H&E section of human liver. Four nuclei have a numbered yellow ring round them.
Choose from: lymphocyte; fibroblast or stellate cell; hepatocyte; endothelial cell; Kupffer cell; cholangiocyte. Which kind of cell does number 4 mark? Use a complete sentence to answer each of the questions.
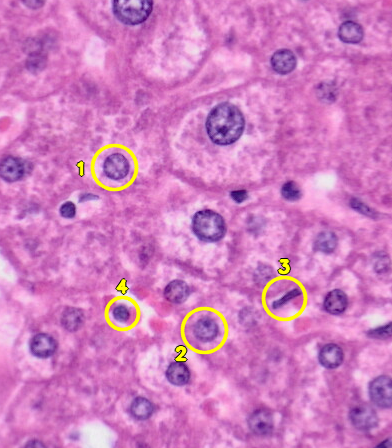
Cell 4 is classified as a lymphocyte.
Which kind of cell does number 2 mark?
The cell marked with the number 2 is a hepatocyte.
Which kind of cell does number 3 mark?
The cell that bears the number 3 is an endothelial cell.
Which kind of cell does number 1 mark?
The cell marked with number 1 is a hepatocyte.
